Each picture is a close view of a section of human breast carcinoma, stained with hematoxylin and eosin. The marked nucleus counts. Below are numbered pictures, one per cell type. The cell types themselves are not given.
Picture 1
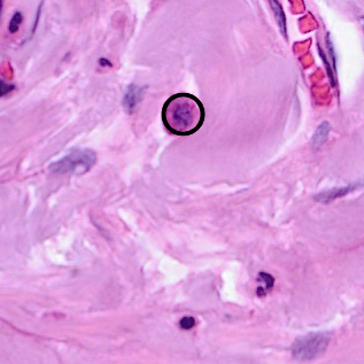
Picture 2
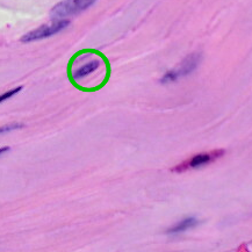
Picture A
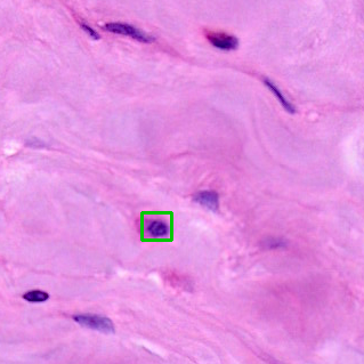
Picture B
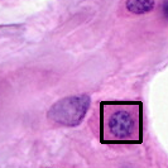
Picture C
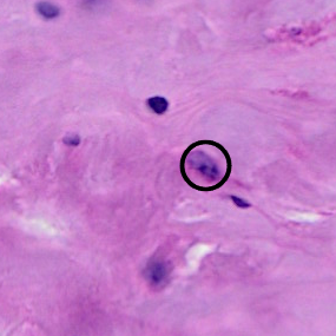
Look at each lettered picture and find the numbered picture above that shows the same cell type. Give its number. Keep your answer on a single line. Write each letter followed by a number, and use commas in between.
A 1, B 1, C 1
